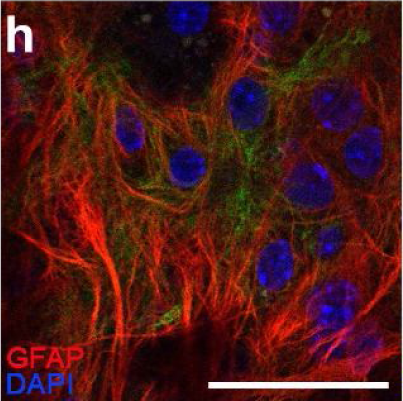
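The red label forms long, thin, wavy strands that gather into bundles, most densely toward the lower left. Blue oval nuclei of varying size are spread among these strands, the filaments passing around and between them. A faint green meshwork lies under the red, most visible in the upper part of the field. The filaments are fine and continuous rather than outlining compact cell bodies.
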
